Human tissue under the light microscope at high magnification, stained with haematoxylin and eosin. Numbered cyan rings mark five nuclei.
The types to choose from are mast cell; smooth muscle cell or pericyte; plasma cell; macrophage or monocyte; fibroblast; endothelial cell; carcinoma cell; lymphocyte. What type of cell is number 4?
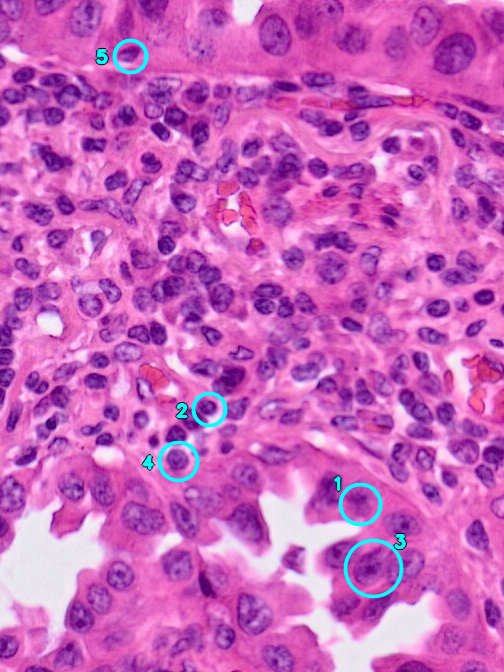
lymphocyte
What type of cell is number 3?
carcinoma cell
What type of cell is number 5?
lymphocyte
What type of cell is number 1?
carcinoma cell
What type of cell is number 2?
lymphocyte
